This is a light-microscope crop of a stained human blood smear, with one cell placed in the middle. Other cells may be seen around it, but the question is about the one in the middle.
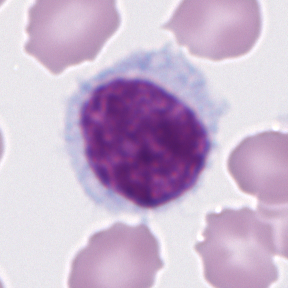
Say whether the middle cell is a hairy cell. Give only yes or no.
yes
